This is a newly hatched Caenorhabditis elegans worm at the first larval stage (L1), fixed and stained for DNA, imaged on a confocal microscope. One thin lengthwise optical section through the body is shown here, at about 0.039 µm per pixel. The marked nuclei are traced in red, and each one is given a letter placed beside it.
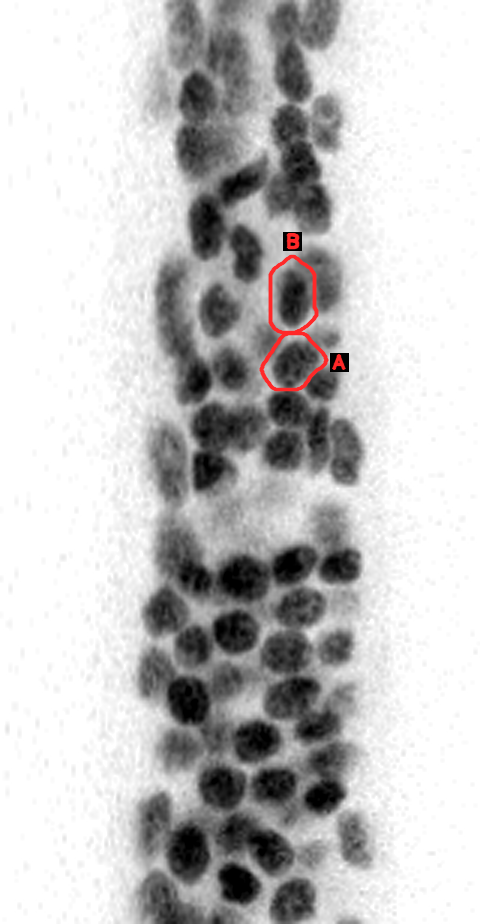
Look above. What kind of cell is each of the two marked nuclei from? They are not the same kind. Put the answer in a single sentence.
A is the nucleus of a neuron; B is the nucleus of a glial cell (sheath or socket).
